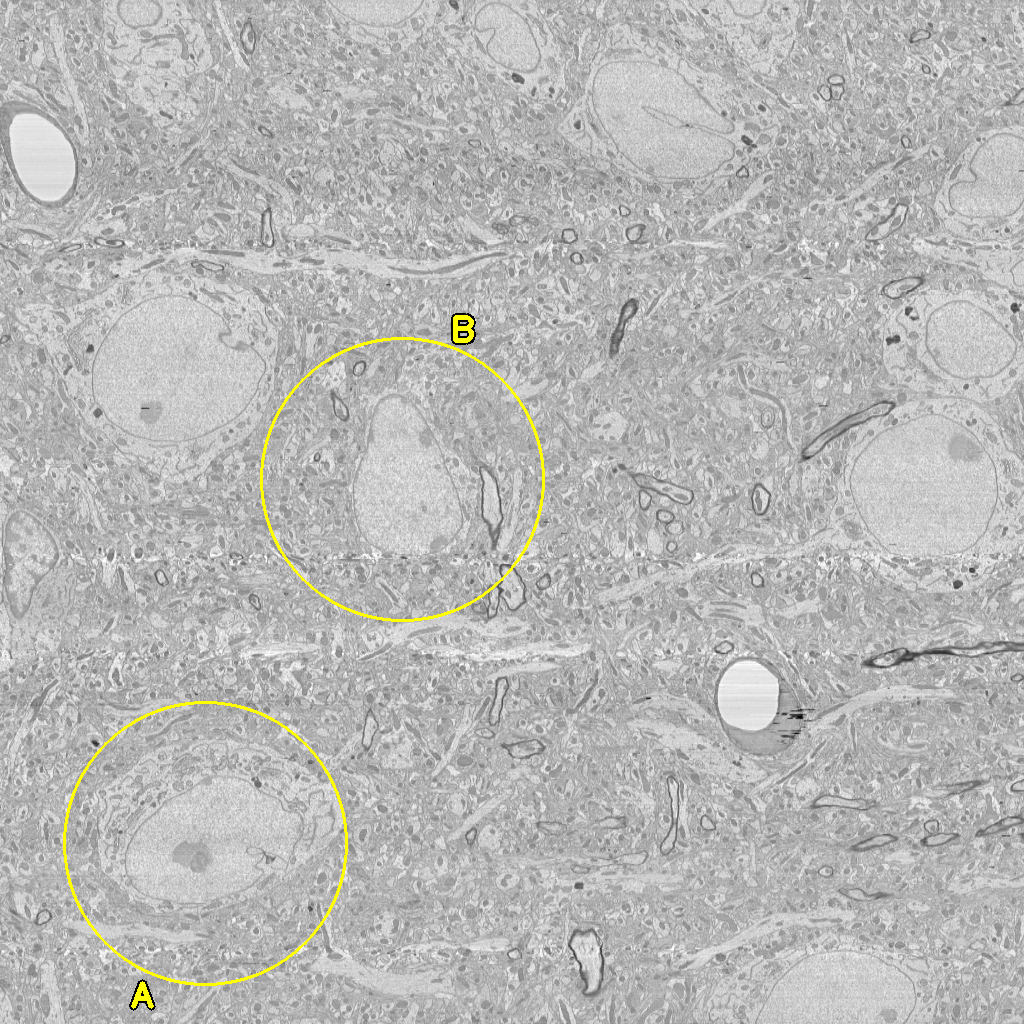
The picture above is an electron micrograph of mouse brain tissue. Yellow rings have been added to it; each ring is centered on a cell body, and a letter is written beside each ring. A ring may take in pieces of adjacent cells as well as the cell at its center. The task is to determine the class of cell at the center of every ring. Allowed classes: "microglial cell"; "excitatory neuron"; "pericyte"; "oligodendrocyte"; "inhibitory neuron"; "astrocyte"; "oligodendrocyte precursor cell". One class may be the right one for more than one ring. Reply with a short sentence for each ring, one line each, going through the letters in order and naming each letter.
Ring A is centered on an inhibitory neuron.
Ring B is centered on an astrocyte.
